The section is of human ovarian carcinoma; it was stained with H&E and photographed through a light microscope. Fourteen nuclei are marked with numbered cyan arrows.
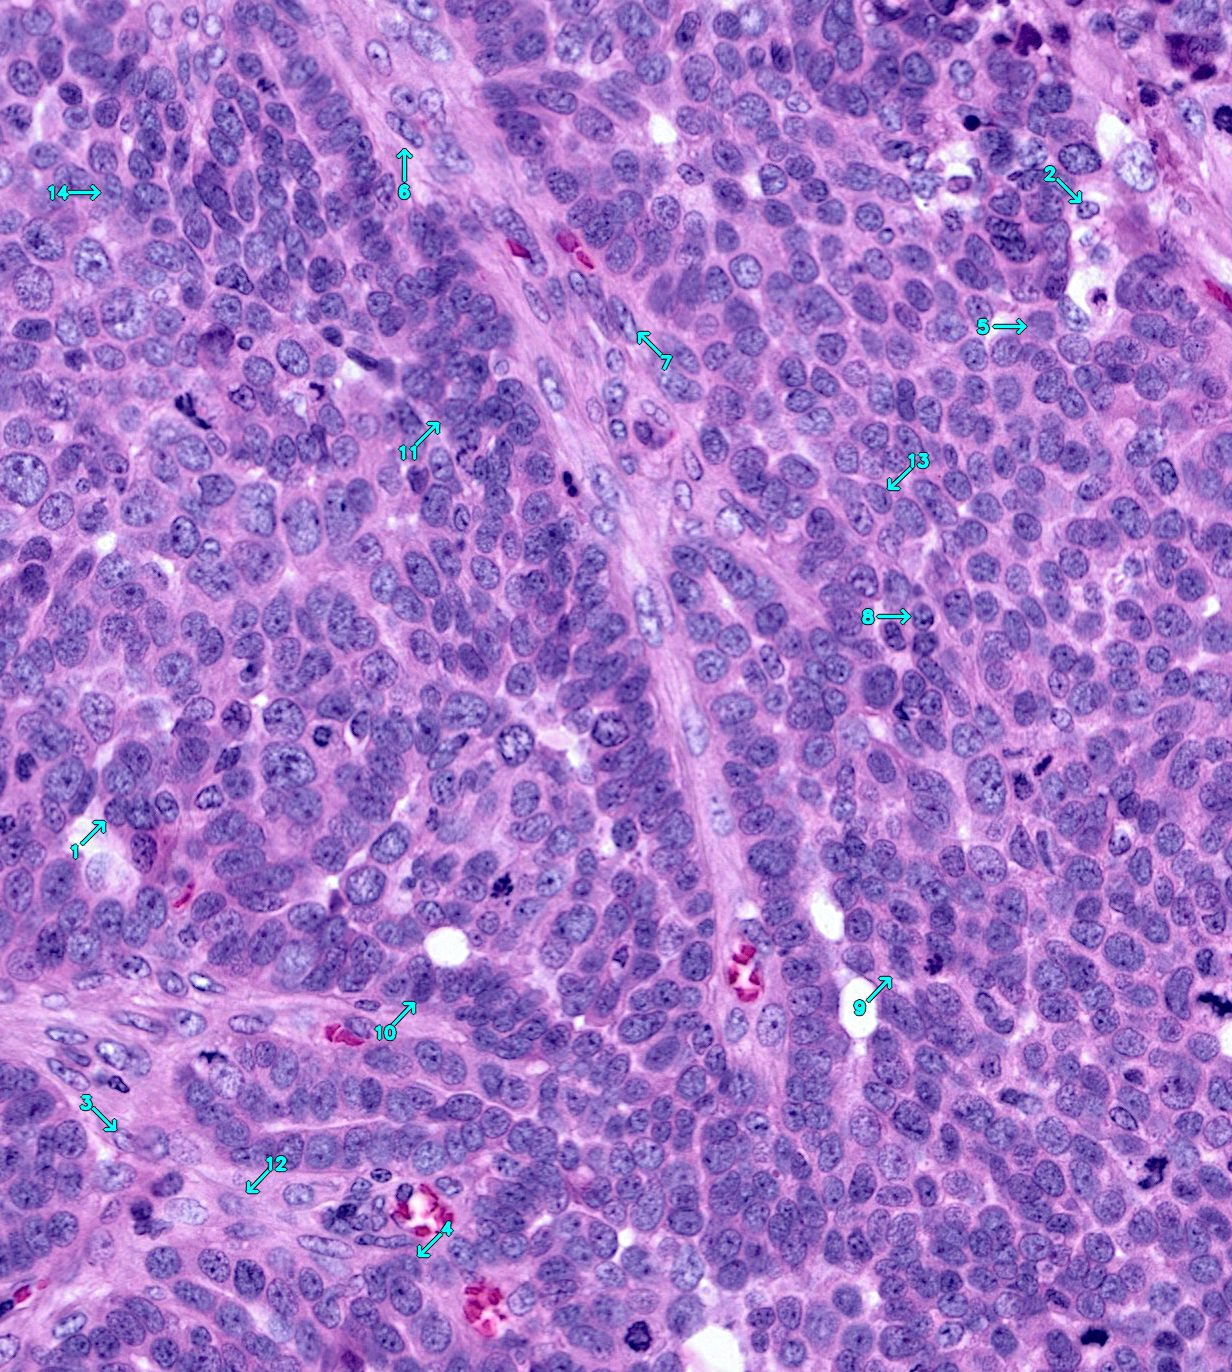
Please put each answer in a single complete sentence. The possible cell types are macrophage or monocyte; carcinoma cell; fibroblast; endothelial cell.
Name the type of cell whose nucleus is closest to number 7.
Closest to number 7 lies the nucleus of an endothelial cell.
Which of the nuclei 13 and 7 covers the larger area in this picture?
The larger nucleus is 7, at roughly 1.5 times the area of 13.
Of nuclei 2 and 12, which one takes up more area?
Nucleus 12 is the larger one, covering about 1.5 times the area of nucleus 2.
